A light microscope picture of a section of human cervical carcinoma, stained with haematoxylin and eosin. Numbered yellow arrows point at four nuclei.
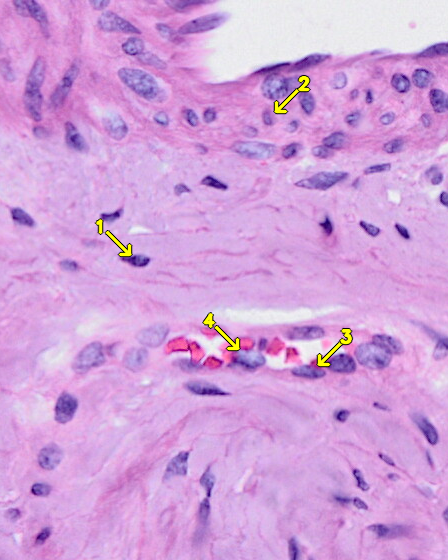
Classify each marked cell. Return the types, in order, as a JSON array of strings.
["fibroblast", "smooth muscle cell", "endothelial cell", "endothelial cell"]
